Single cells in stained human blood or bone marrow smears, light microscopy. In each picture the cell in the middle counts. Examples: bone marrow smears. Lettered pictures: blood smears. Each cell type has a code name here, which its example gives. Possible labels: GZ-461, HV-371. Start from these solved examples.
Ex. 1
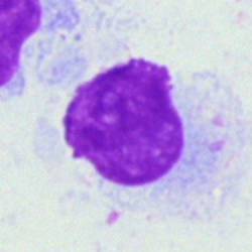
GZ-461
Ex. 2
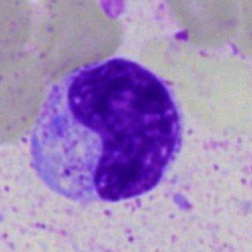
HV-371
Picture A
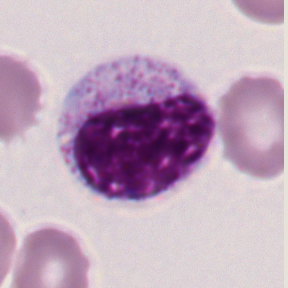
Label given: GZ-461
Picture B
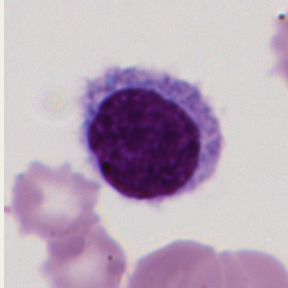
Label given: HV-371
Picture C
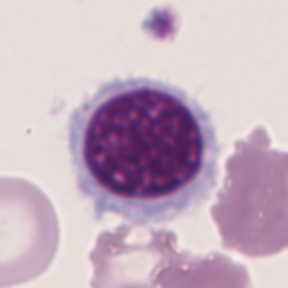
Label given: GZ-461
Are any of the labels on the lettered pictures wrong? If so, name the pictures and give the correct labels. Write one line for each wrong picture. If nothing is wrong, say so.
A is labelled GZ-461; correct label: HV-371
B is labelled HV-371; correct label: GZ-461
